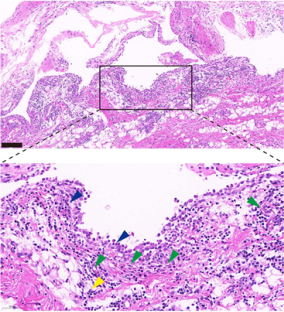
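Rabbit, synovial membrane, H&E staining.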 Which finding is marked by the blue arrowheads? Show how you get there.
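The cells along the surface facing the joint space form a thick, multi-cell layer. Nuclei are crowded at the free edge of the tissue.
Enlarged lining cell layer.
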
